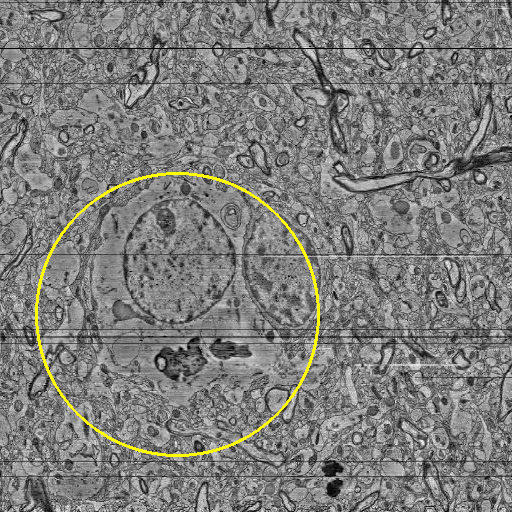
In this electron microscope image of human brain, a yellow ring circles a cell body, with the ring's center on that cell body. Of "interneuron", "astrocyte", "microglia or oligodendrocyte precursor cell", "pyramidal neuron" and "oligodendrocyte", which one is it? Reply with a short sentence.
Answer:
It is an astrocyte at the center of the ring.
